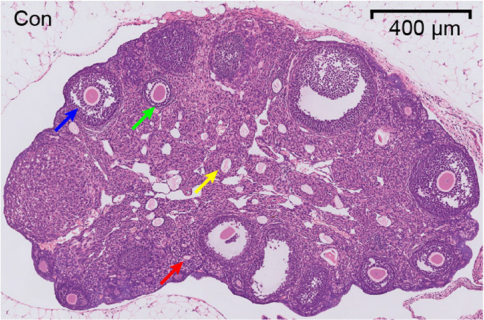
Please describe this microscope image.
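Section of an ovary stained pink and purple, packed with follicles of many sizes set in densely cellular stroma. Small follicles lie in the cortex, while larger follicles hold a round pink oocyte within several layers of purple granulosa cells, some with a pale cavity. Small pale oval profiles gather in the central region, and fat tissue borders the section at the upper right.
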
